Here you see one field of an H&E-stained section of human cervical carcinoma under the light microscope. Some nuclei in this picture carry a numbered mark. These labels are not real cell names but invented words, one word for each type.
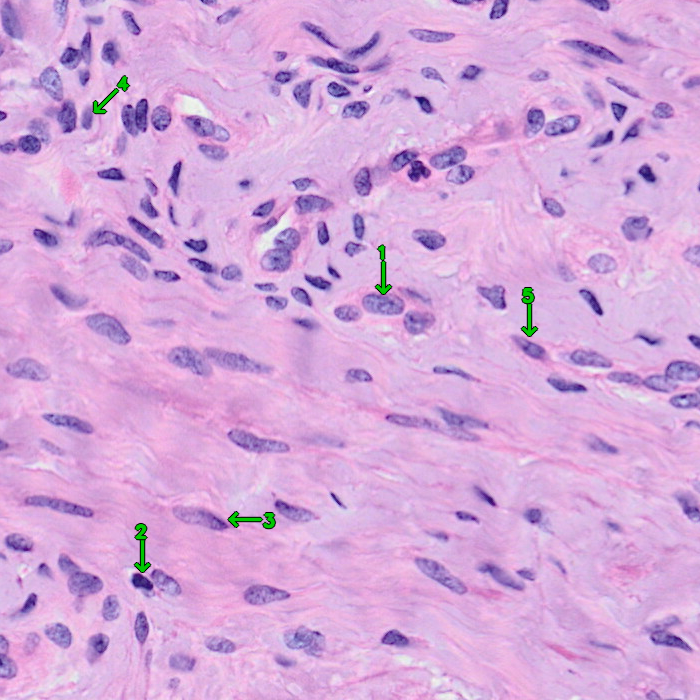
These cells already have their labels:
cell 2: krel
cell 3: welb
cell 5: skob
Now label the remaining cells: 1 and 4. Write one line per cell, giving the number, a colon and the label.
1: skob
4: welb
